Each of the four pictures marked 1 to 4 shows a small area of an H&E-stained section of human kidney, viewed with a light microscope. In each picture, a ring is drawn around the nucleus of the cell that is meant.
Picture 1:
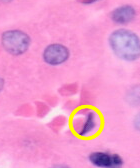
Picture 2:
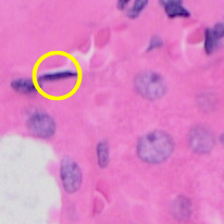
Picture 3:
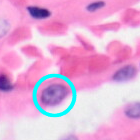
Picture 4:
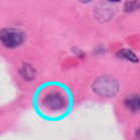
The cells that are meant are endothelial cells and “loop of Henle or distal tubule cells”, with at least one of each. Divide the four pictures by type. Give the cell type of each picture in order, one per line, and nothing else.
endothelial cell
endothelial cell
loop of Henle or distal tubule cell
loop of Henle or distal tubule cell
